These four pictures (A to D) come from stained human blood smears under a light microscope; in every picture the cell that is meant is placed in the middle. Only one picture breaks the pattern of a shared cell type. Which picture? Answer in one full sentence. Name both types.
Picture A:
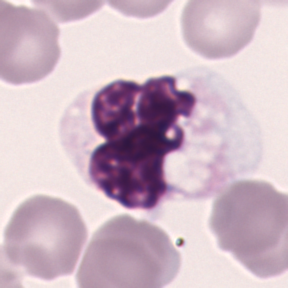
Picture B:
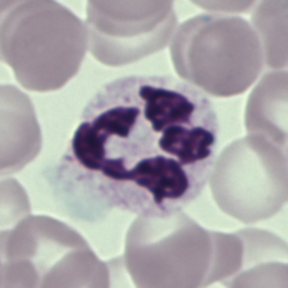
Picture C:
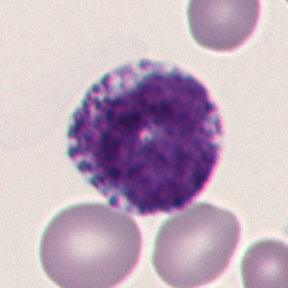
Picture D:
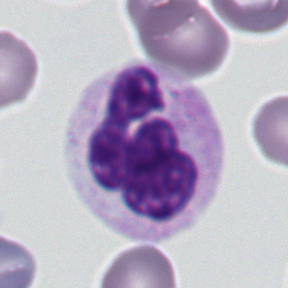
All pictures except C show segmented neutrophils; picture C shows a basophil.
